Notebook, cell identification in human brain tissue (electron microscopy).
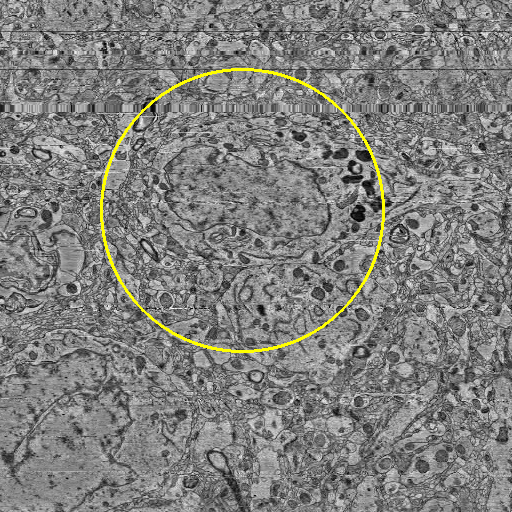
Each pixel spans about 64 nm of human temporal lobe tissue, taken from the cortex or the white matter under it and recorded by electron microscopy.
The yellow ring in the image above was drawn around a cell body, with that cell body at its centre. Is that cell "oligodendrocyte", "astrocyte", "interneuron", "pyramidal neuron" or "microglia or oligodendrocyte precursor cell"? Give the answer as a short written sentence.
The cell in the ring is an interneuron.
